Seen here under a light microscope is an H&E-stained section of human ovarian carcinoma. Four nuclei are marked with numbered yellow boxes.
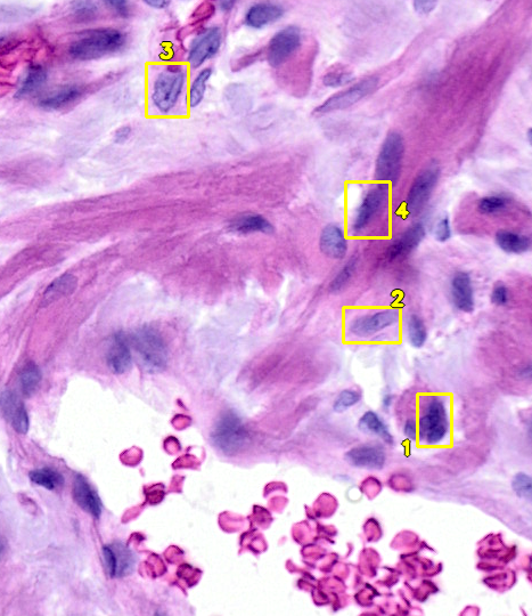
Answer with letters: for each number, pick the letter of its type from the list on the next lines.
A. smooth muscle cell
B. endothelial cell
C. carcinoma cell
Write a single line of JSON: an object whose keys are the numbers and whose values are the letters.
{"1": "A", "2": "A", "3": "B", "4": "A"}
